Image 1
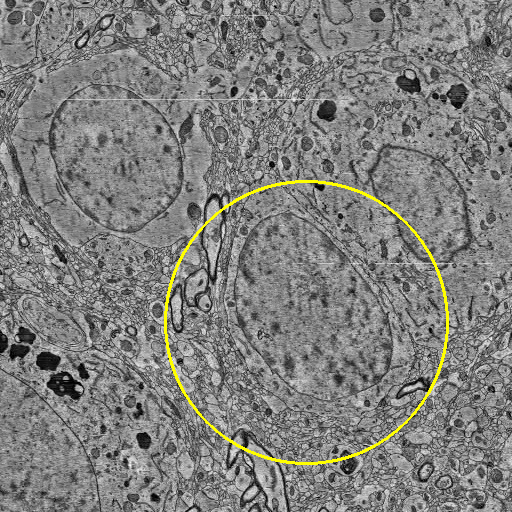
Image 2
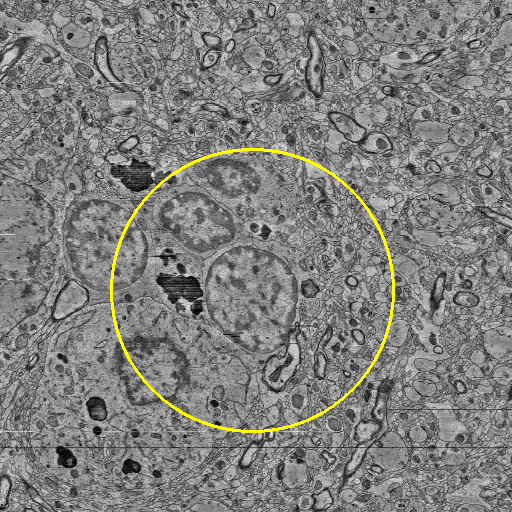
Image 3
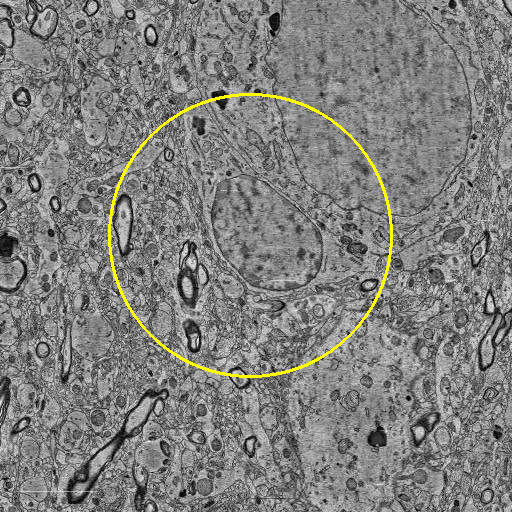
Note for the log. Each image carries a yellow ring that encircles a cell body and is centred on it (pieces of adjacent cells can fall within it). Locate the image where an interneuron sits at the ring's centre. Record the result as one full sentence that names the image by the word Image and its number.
Image 1 has the wanted cell sitting at the centre of its ring.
